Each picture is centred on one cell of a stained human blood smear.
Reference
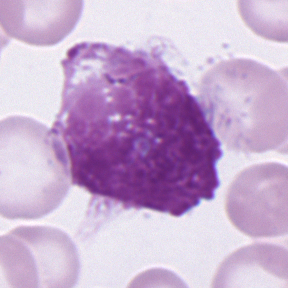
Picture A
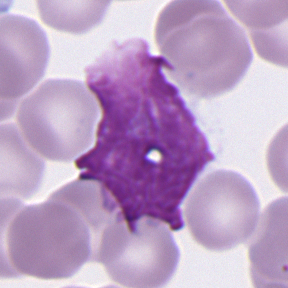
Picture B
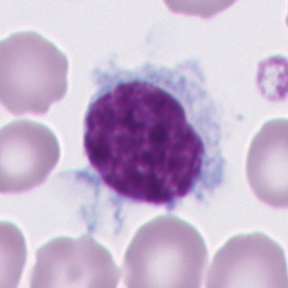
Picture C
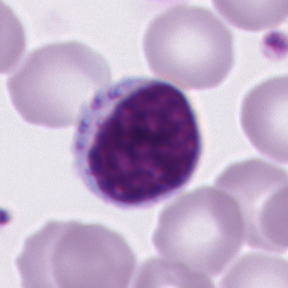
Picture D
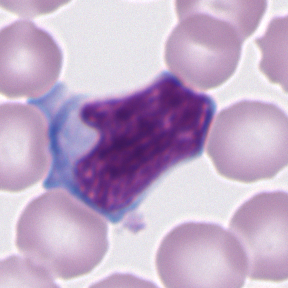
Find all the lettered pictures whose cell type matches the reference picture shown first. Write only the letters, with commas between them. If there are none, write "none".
A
